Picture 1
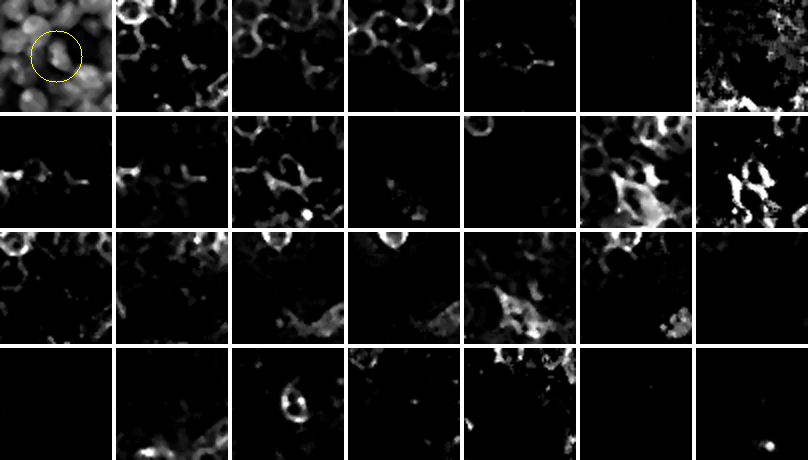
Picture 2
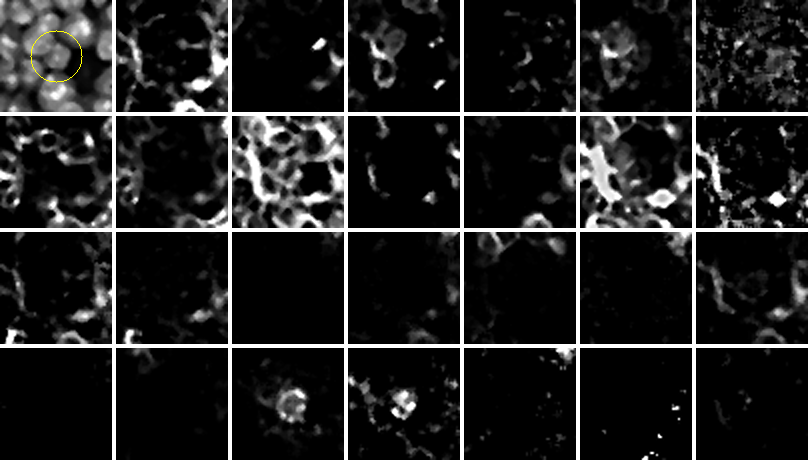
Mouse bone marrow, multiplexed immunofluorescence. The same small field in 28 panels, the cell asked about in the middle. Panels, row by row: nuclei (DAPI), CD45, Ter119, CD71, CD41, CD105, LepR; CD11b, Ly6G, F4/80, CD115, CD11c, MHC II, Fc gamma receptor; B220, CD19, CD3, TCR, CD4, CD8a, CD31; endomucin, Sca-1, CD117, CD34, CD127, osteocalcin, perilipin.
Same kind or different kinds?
Different: the first is a granulocyte-monocyte progenitor, the second a common myeloid progenitor.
